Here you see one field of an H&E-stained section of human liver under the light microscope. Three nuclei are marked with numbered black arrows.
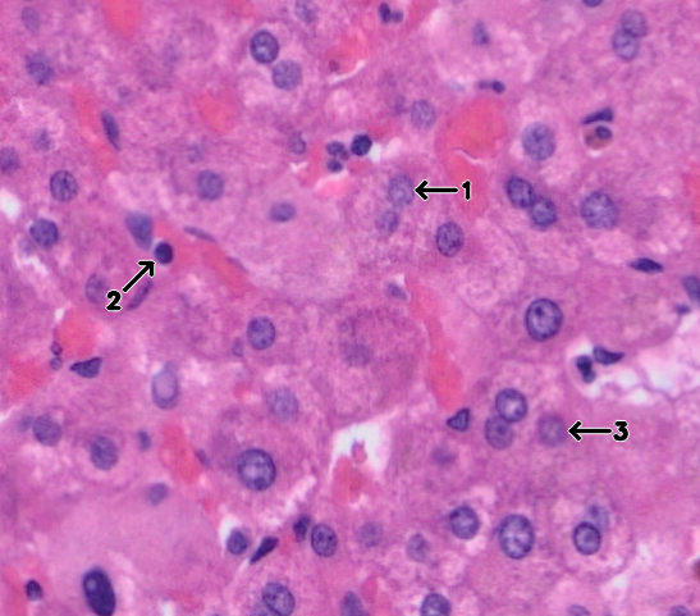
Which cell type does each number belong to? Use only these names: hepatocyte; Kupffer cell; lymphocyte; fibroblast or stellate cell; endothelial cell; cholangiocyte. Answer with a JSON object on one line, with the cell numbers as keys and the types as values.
{"1": "hepatocyte", "2": "lymphocyte", "3": "hepatocyte"}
